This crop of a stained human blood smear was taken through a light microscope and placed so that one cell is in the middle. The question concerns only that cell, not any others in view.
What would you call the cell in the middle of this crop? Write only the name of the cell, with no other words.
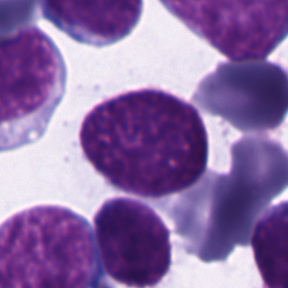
myeloblast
